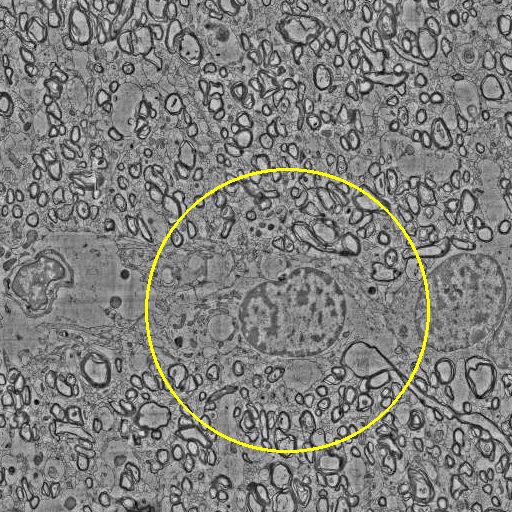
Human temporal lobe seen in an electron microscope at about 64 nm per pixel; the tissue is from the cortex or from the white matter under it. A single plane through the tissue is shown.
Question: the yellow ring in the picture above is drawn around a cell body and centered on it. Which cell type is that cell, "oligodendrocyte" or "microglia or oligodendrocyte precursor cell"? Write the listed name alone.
microglia or oligodendrocyte precursor cell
